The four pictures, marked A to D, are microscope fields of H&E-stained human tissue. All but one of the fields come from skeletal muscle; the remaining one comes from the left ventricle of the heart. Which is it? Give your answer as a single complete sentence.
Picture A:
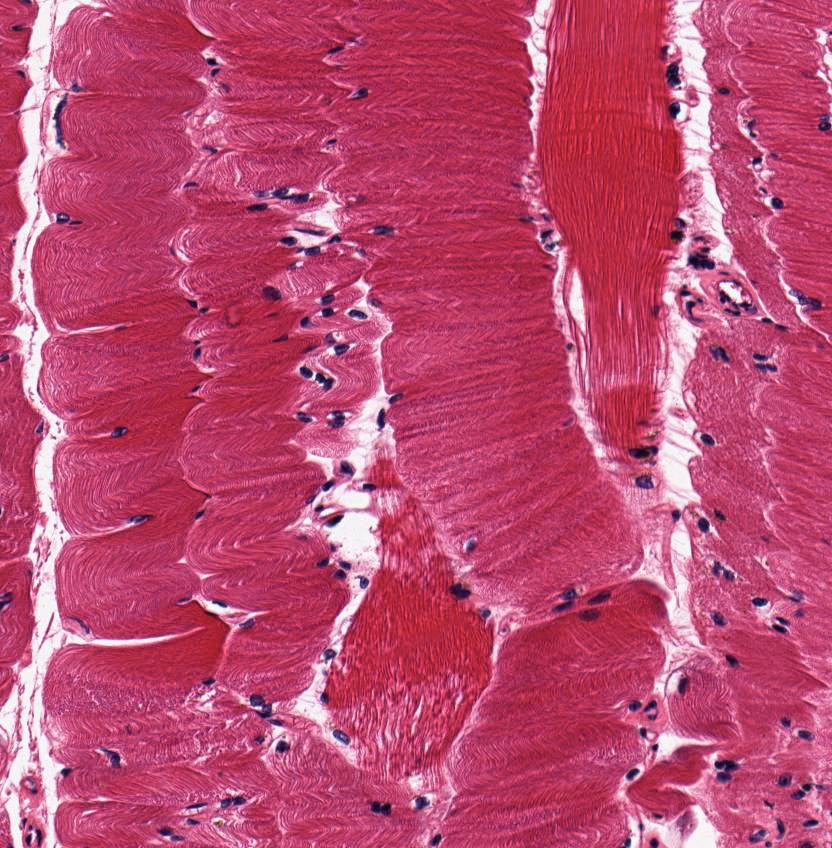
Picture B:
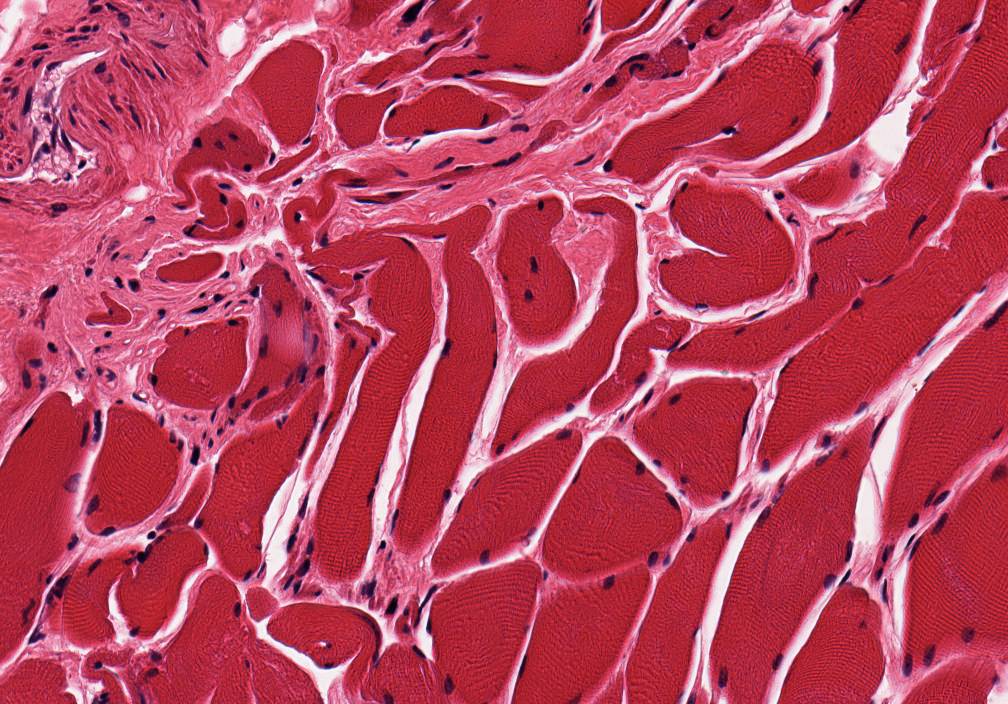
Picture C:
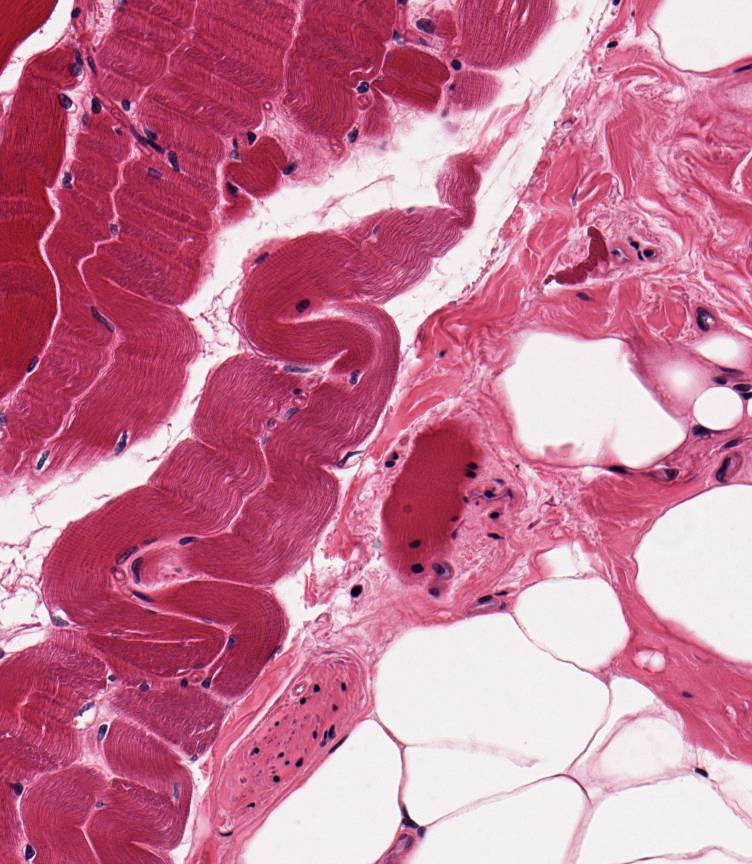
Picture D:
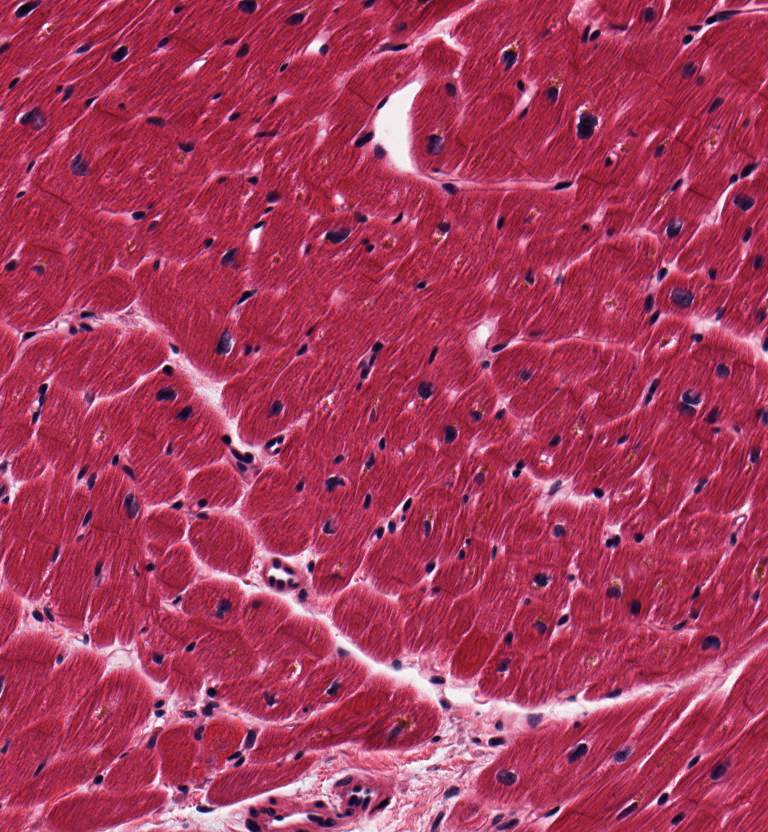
The one that comes from the left ventricle of the heart is picture D.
